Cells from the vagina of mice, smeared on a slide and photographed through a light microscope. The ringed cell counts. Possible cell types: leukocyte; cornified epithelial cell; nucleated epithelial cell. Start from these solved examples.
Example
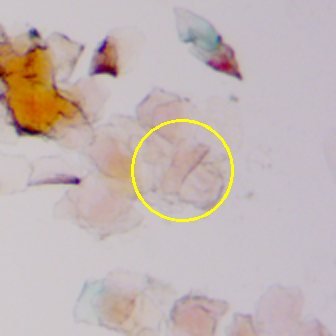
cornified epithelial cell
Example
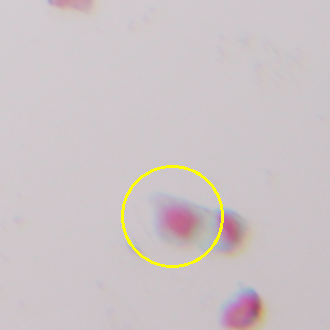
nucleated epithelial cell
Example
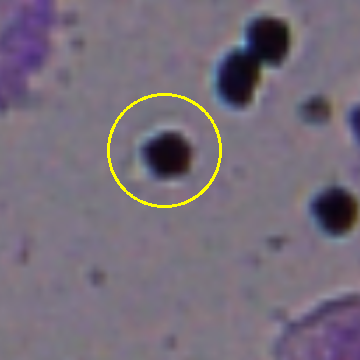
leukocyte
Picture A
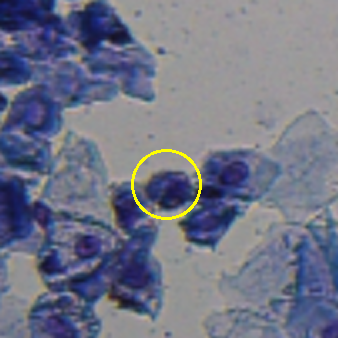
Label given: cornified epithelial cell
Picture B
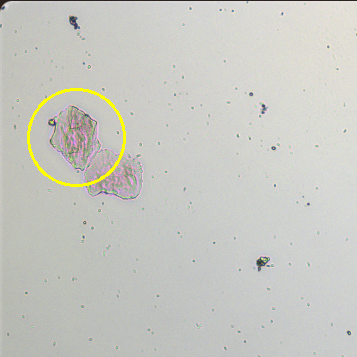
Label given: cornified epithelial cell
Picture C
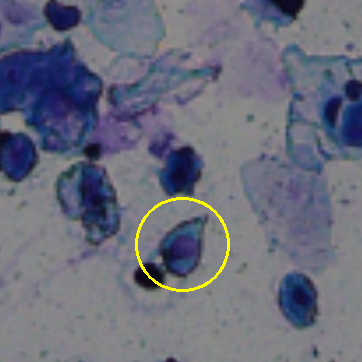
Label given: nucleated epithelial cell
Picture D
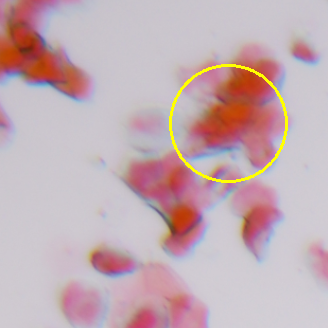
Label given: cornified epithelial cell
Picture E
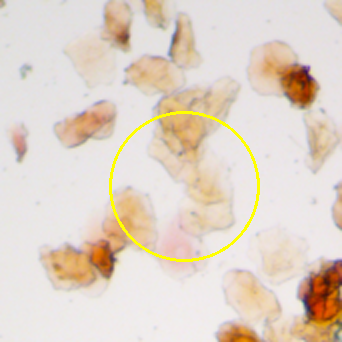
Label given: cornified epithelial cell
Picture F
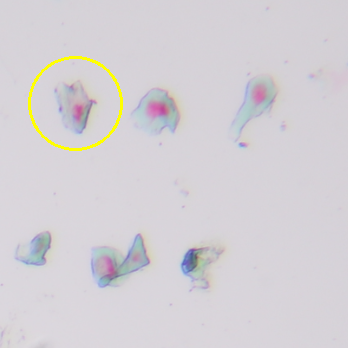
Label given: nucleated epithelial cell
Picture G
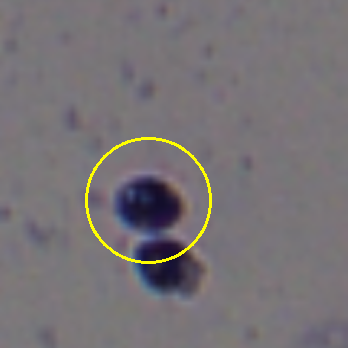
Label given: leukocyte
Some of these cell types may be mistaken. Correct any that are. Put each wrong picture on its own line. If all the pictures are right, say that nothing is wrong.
A is labelled cornified epithelial cell; correct label: nucleated epithelial cell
